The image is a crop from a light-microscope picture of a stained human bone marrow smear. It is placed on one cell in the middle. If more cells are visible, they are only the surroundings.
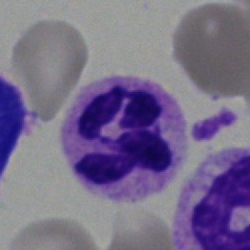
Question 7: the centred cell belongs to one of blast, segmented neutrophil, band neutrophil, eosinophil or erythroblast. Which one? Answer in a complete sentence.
The cell marked by its central position in the crop is a segmented neutrophil.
